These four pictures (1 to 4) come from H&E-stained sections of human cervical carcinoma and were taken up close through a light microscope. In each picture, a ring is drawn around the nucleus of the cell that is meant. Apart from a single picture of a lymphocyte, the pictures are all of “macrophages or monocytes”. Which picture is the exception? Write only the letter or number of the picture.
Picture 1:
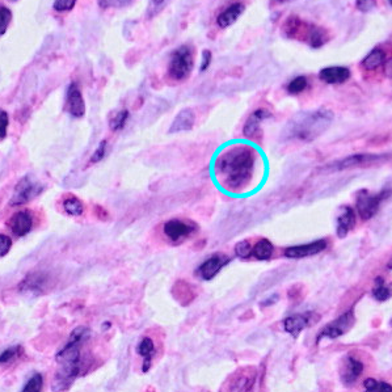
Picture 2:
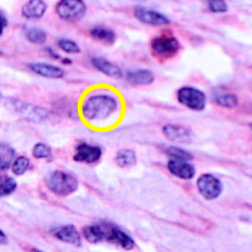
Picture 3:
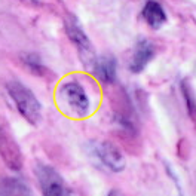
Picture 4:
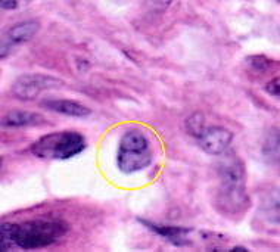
3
